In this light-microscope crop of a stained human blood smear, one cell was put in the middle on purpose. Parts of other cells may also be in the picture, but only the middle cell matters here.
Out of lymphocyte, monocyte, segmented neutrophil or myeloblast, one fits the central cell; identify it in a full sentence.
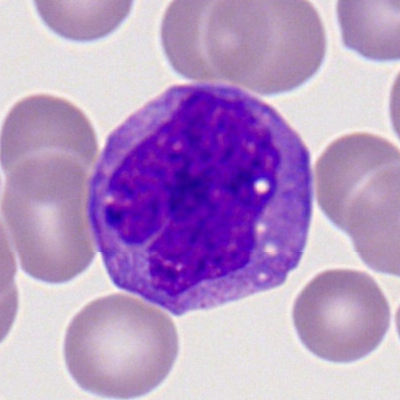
The cell found in the middle of this crop is a monocyte.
